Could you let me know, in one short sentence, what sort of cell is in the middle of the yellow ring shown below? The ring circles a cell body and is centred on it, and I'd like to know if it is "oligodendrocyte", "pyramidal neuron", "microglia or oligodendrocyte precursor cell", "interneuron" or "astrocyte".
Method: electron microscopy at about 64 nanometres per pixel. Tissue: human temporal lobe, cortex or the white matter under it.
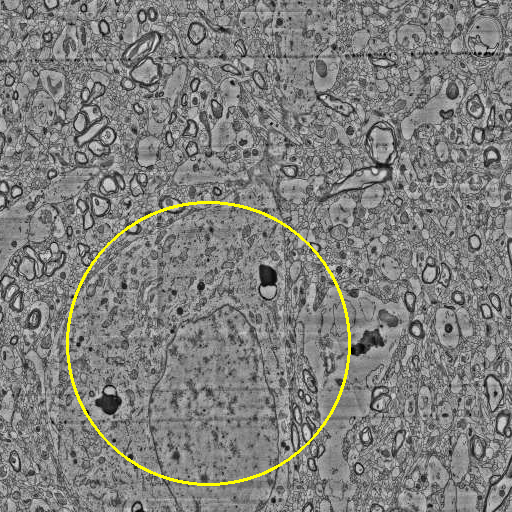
The ring circles the cell body of a pyramidal neuron.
